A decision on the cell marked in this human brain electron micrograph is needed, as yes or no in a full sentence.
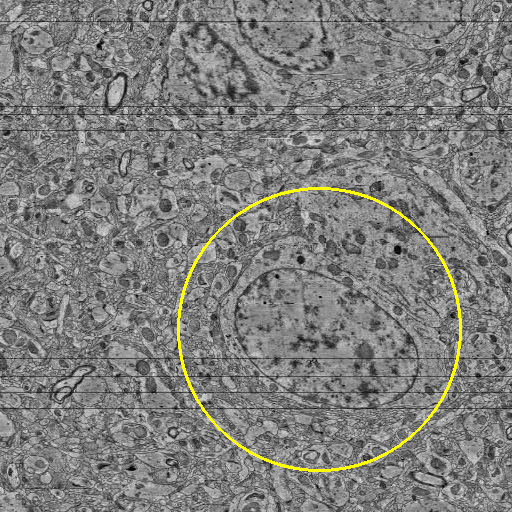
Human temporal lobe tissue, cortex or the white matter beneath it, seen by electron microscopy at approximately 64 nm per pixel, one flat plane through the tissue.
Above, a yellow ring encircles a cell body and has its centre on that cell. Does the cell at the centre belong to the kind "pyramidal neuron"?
Yes, the kind given fits the cell at the centre of the ring in the picture.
